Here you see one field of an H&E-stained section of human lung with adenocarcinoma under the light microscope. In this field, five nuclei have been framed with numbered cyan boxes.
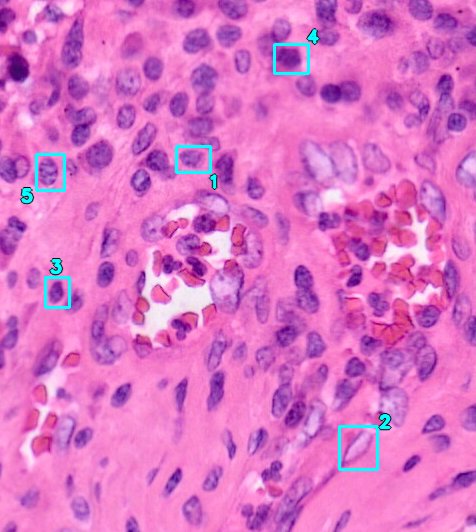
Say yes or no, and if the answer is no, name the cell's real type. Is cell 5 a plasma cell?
No, it is a mast cell.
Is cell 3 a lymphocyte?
Yes.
